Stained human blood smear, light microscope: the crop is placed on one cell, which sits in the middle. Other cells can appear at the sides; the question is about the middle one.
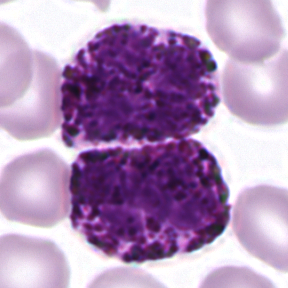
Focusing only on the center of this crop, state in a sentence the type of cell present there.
The cell around which this crop is centred is a basophil.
